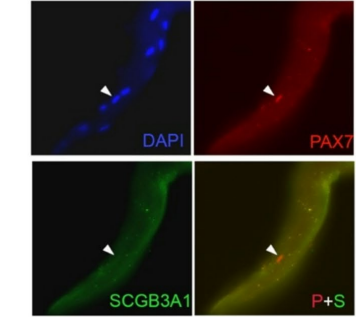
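This is a single isolated skeletal muscle fiber, seen as a long band running diagonally across each image, with a satellite cell on its surface. Many elongated blue nuclei are spaced along the fiber. In the merged image the marked cell stands out as a single red spot on a yellowish fiber.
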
